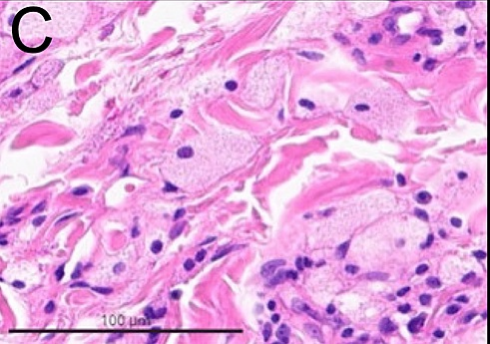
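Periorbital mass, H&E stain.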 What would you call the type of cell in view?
Foamy macrophages.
